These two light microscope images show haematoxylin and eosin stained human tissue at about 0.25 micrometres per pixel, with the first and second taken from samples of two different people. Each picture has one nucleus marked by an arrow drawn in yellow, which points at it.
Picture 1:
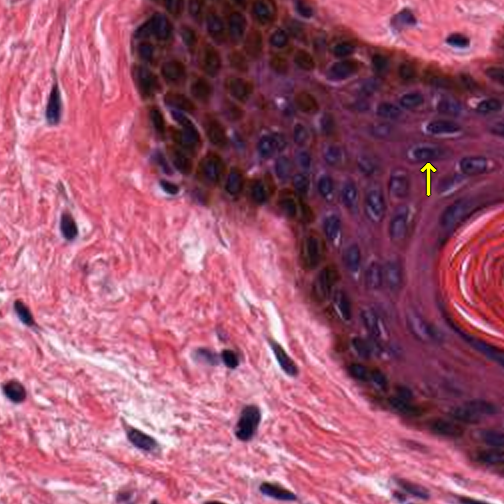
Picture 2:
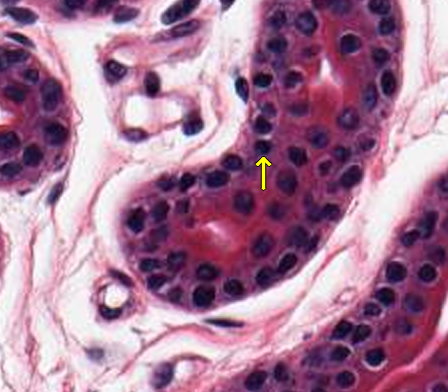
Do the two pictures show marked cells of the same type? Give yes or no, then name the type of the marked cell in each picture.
No, the first is a keratinocyte and the second a sweat gland cell.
